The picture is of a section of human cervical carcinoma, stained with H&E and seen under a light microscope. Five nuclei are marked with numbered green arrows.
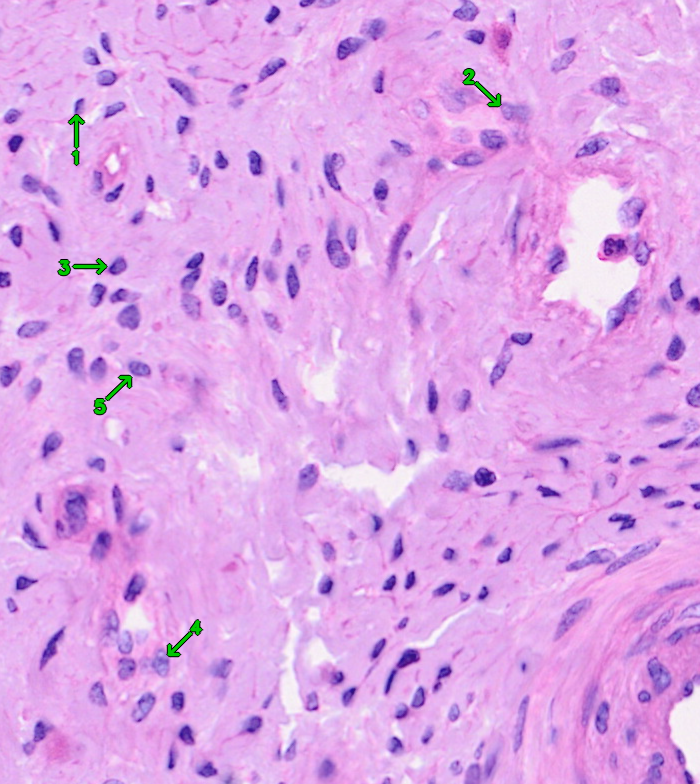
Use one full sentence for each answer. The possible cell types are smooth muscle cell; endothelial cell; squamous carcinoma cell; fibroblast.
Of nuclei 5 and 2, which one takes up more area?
Of the two, number 5 is bigger and takes up about 1.5 times the area of number 2.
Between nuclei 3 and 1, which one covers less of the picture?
With nucleus 3 about 2 times its size, nucleus 1 is the smaller of the two.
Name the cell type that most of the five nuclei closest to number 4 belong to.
Most of the five nuclei nearest to number 4 are those of endothelial cells.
